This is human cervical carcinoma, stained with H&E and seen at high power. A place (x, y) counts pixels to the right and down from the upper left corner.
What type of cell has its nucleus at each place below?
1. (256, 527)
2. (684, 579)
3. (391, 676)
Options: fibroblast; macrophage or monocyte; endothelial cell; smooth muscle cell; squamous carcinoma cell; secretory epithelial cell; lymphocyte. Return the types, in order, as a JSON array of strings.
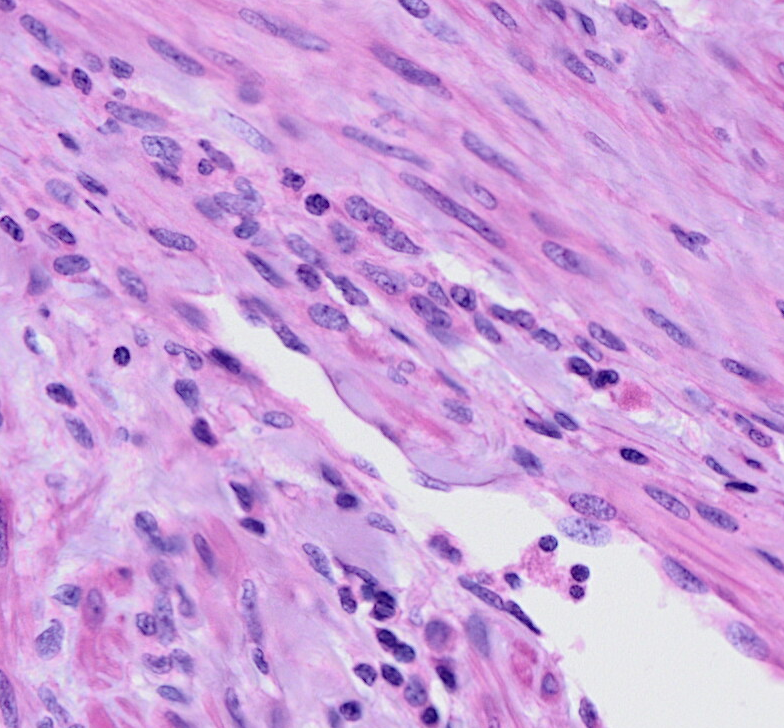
["lymphocyte", "endothelial cell", "lymphocyte"]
